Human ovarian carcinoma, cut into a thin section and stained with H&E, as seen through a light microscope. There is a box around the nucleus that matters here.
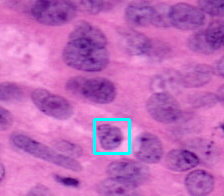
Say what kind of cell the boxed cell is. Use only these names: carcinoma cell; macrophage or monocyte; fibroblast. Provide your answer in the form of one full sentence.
The category to which the boxed cell belongs is that of a macrophage or monocyte.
